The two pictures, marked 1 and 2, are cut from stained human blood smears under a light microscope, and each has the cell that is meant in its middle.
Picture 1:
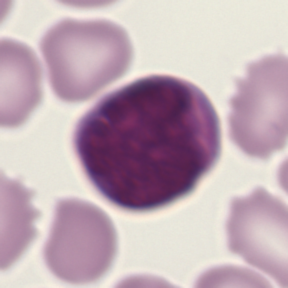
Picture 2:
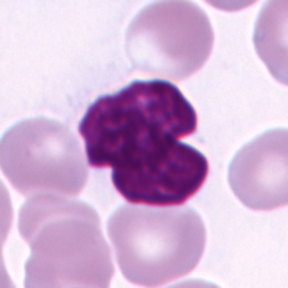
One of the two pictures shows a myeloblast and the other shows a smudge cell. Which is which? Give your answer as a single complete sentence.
Picture 2 shows a smudge cell, while picture 1 shows a myeloblast.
